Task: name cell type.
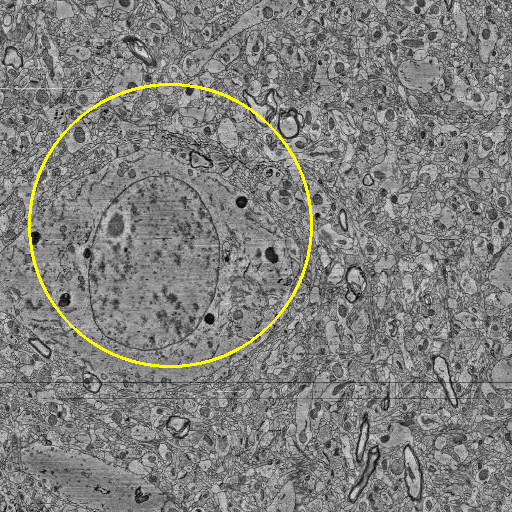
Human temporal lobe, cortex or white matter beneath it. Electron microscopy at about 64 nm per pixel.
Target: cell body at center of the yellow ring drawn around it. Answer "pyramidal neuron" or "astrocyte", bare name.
pyramidal neuron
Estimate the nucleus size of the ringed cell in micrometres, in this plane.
Approximately 12 x 9 micrometres in this plane.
